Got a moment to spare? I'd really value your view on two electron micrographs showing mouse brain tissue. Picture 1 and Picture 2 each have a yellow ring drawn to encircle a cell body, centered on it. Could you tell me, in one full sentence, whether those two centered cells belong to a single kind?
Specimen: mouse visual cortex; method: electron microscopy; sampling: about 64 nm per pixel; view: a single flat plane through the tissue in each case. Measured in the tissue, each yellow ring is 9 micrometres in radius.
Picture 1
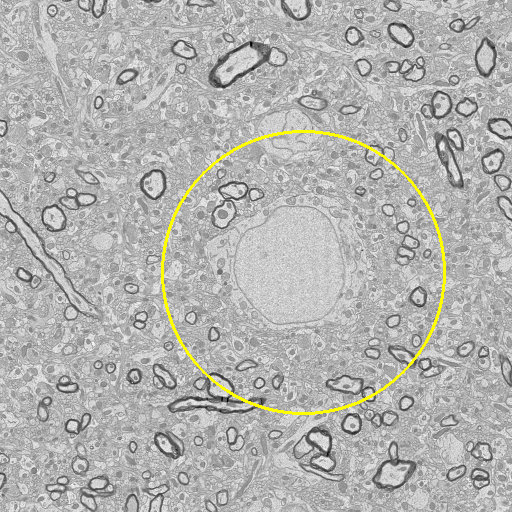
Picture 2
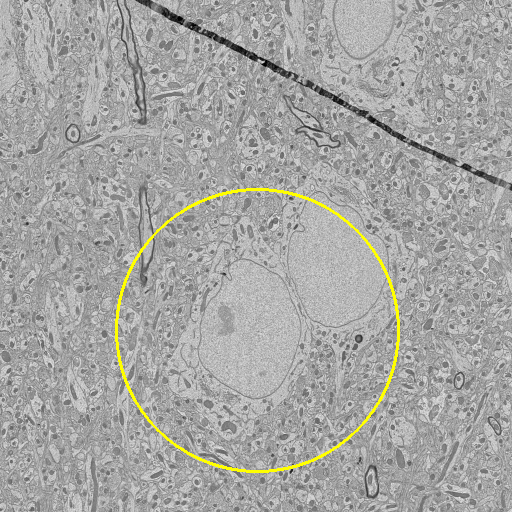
Yes, the two centered cells in Picture 1 and Picture 2 are of a single kind.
